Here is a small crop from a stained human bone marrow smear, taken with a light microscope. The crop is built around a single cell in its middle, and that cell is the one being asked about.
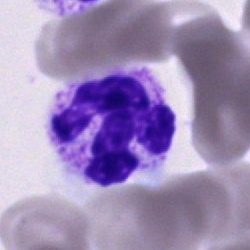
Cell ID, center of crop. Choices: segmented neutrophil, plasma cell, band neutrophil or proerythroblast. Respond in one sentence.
Classified as a segmented neutrophil is the cell in the middle of this crop.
